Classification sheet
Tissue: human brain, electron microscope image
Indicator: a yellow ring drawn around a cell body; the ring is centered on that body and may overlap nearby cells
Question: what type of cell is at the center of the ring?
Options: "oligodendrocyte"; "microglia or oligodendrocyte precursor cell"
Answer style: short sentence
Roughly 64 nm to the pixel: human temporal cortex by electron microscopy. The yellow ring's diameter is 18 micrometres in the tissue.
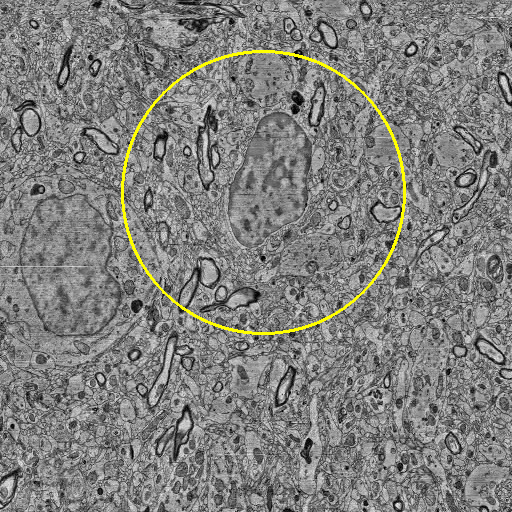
At the ring's center is a microglial cell or oligodendrocyte precursor cell.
